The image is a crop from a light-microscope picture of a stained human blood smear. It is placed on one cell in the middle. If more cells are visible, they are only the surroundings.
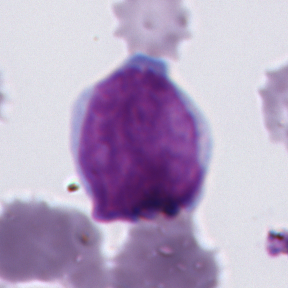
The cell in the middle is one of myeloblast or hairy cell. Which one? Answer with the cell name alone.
myeloblast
